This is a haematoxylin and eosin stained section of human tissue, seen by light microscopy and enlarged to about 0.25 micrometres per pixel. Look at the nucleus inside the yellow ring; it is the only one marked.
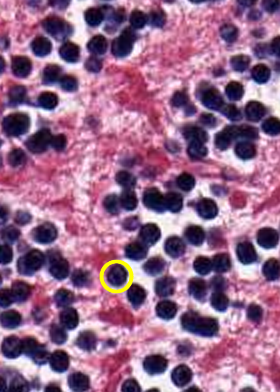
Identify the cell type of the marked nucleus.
cerebellar granule cell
